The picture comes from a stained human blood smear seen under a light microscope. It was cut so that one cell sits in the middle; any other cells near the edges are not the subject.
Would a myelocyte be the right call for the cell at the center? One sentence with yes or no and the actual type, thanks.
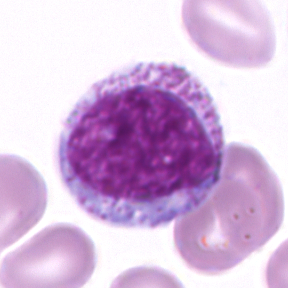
Yes, the cell in the middle is recognised as a myelocyte.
